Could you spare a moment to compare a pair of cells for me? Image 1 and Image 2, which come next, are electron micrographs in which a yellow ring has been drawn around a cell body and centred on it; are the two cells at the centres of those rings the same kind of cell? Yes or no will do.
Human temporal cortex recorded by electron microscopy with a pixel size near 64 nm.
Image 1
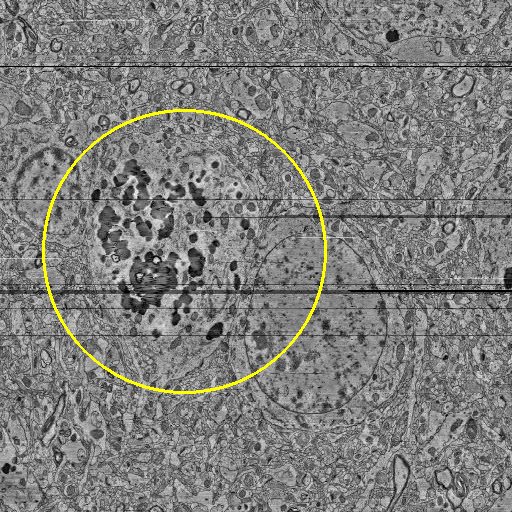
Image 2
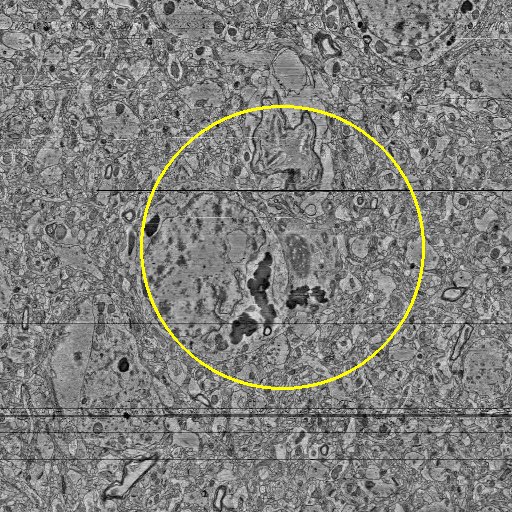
no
